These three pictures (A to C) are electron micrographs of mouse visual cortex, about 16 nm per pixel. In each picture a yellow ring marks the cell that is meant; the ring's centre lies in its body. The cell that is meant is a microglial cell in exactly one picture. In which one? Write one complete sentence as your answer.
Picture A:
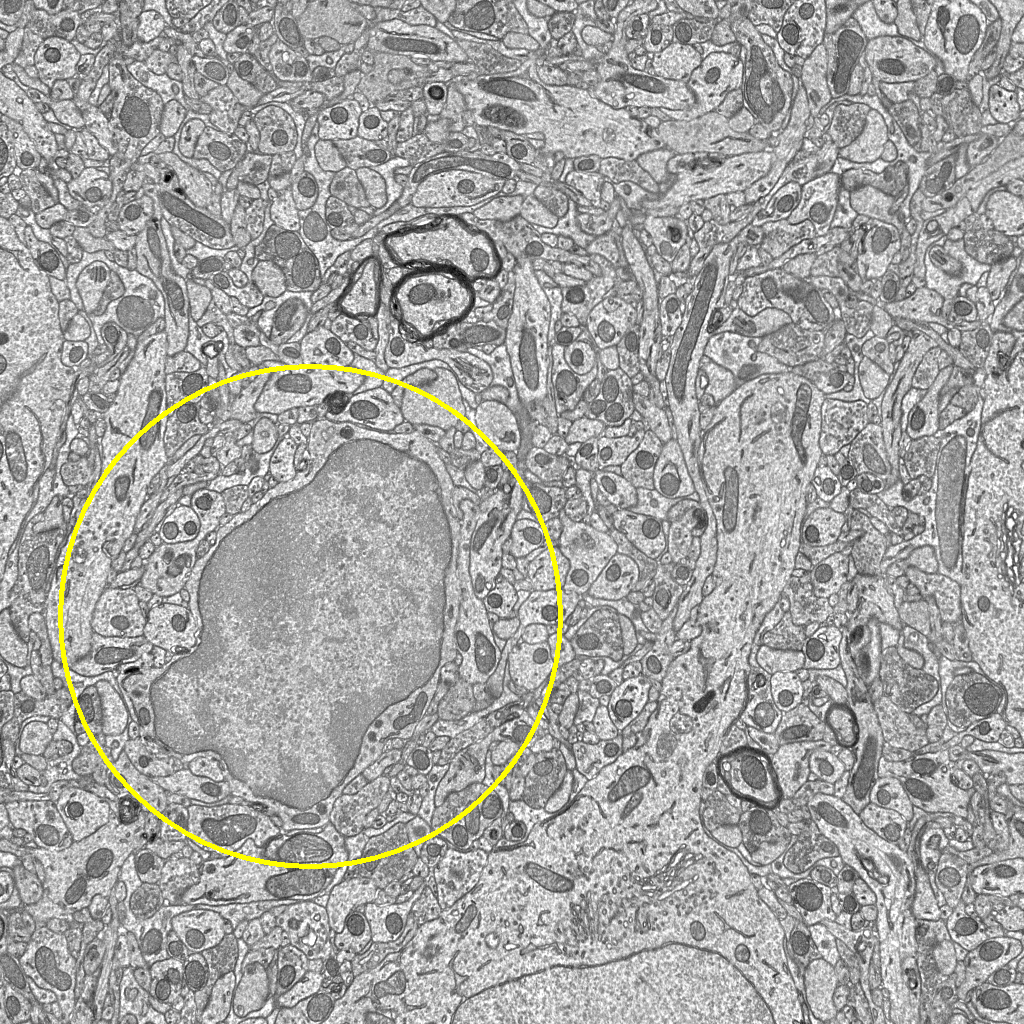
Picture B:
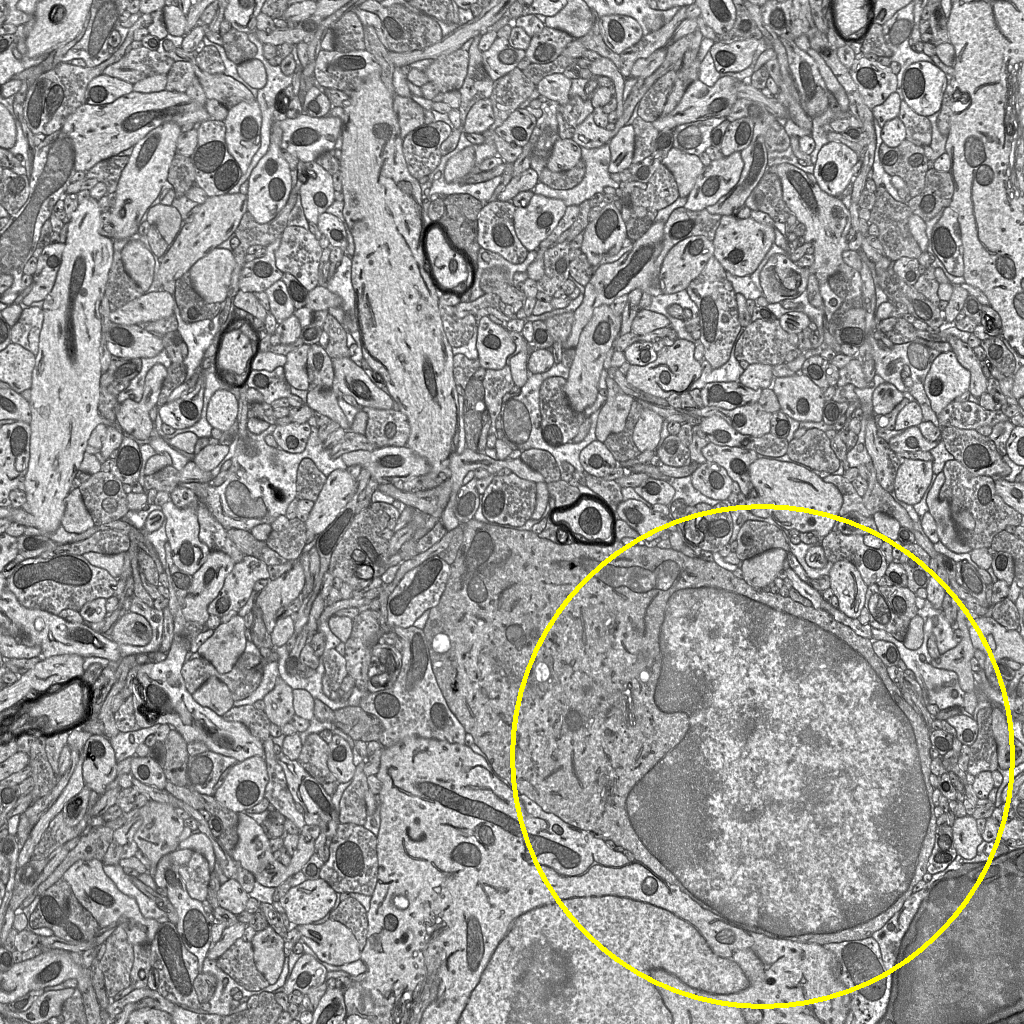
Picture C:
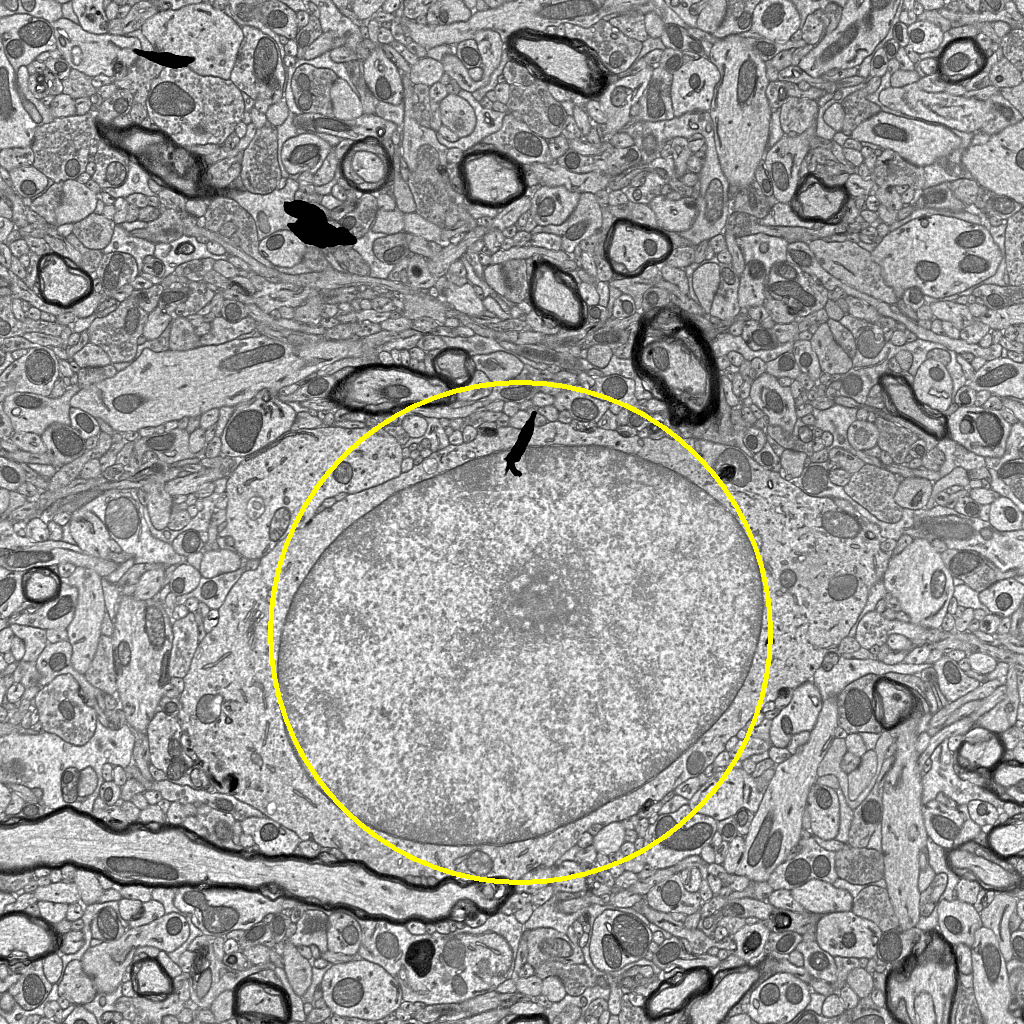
Picture A is the one that shows the microglial cell.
